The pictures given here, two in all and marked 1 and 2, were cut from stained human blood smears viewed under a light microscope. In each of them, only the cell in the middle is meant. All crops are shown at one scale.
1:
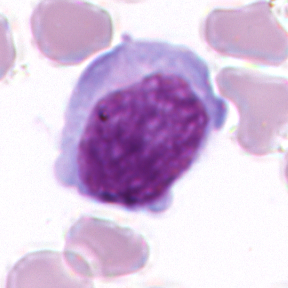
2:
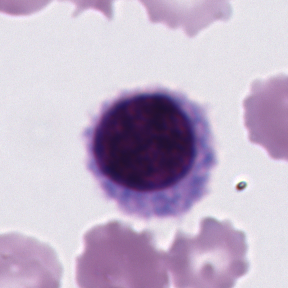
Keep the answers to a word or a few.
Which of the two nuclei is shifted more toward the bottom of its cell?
1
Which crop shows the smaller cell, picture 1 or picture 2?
2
